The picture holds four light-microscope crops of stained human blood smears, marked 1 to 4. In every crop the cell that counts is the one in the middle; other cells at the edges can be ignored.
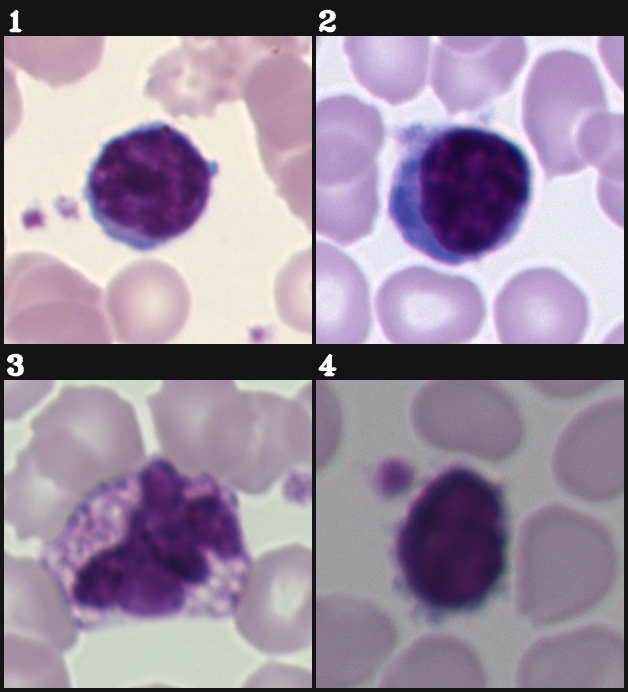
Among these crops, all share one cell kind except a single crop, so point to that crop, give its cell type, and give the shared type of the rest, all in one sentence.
Unlike the other crops, which all show lymphocytes, crop 3 is a basophil.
